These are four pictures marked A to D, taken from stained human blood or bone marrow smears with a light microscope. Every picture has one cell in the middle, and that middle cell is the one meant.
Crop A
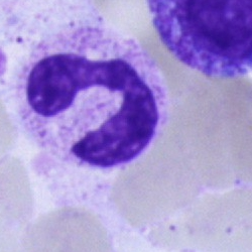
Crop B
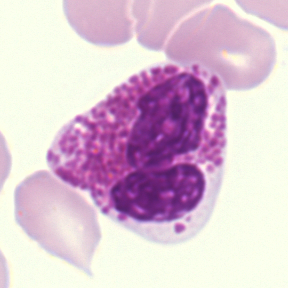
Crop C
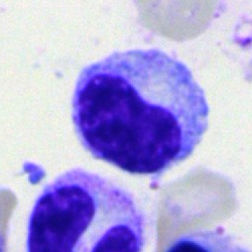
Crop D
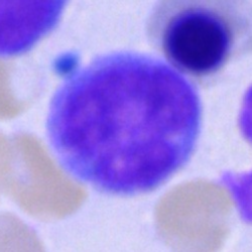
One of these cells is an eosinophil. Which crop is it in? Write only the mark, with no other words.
B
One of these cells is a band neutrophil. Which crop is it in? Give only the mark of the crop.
A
